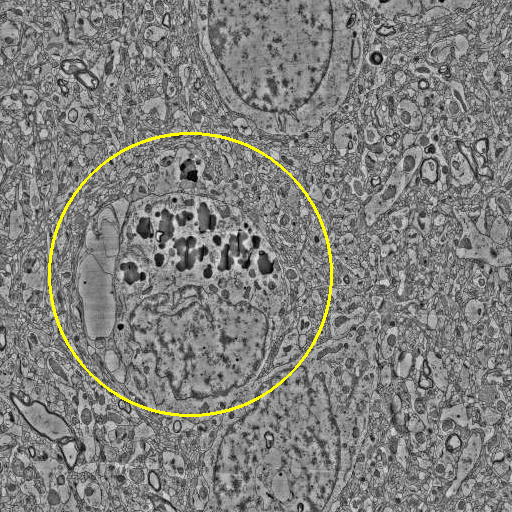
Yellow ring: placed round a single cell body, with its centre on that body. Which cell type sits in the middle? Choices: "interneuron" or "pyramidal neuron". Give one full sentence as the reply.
It is an interneuron whose cell body sits at the centre of the yellow ring.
